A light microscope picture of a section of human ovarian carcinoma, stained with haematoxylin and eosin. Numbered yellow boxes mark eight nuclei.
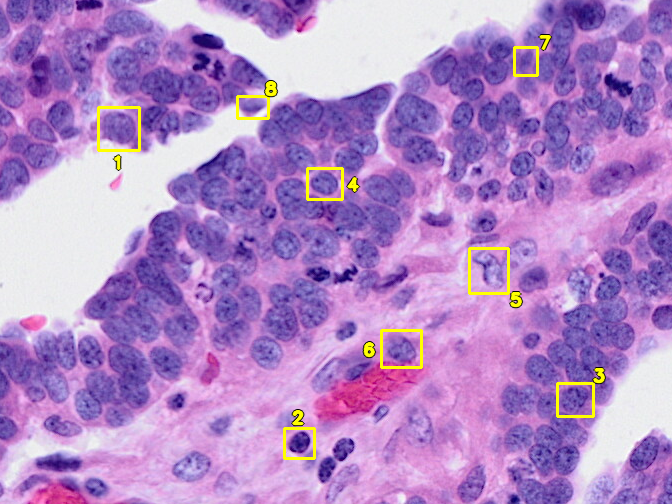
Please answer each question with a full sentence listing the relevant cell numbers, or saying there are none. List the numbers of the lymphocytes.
Of all the numbered cells, only one is a lymphocyte, and that is cell 2.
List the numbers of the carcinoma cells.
The numbers 1, 3, 4, 7 and 8 mark cells that are carcinoma cells.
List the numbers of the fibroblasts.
Only one choice fits: cell 5 is a fibroblast, and no other.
